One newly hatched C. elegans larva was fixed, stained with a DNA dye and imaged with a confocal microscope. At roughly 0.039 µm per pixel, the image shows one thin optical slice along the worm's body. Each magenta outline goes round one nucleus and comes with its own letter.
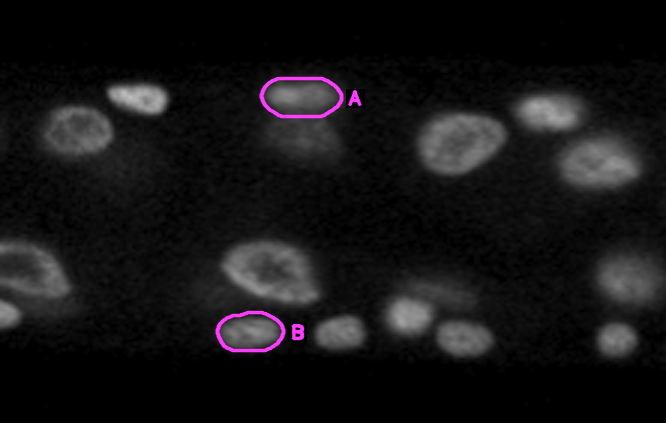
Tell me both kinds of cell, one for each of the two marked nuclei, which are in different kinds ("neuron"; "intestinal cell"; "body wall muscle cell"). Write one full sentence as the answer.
A is from a body wall muscle cell, and B is from a neuron.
